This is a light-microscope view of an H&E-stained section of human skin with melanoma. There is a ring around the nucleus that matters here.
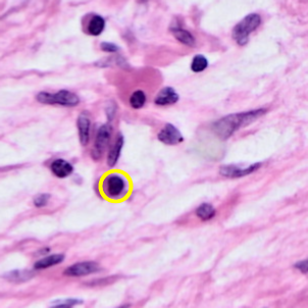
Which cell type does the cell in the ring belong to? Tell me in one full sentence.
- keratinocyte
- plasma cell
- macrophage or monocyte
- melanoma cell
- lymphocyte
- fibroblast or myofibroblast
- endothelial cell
Labelled by cell type, the cell in the ring is a plasma cell.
